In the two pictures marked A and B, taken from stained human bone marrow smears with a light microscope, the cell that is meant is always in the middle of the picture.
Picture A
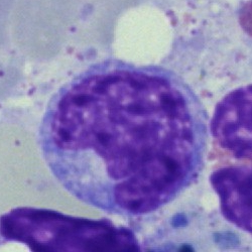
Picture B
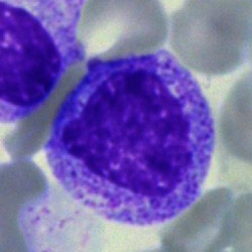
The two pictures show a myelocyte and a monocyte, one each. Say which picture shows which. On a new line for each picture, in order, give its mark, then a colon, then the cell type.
A: monocyte
B: myelocyte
